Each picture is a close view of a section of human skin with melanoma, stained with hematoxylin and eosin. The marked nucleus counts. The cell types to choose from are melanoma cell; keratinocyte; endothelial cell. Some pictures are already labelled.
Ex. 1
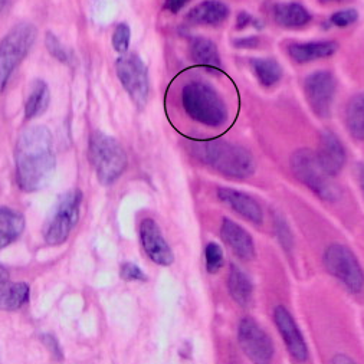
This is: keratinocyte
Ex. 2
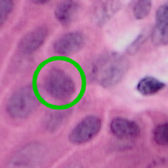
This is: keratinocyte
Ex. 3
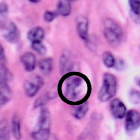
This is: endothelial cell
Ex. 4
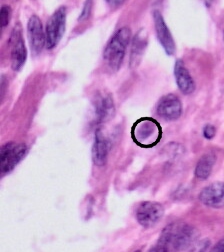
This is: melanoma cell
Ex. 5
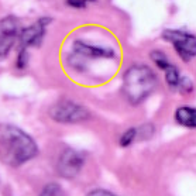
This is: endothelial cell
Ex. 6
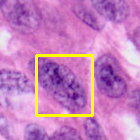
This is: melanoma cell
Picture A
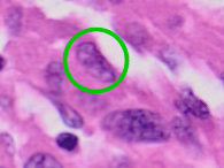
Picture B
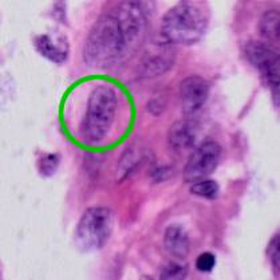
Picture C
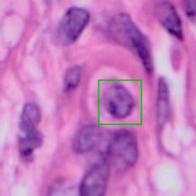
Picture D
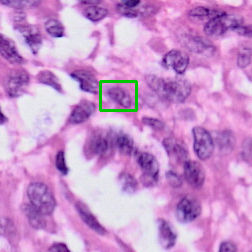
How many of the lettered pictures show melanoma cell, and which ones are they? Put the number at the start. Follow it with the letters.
3: A, B, D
